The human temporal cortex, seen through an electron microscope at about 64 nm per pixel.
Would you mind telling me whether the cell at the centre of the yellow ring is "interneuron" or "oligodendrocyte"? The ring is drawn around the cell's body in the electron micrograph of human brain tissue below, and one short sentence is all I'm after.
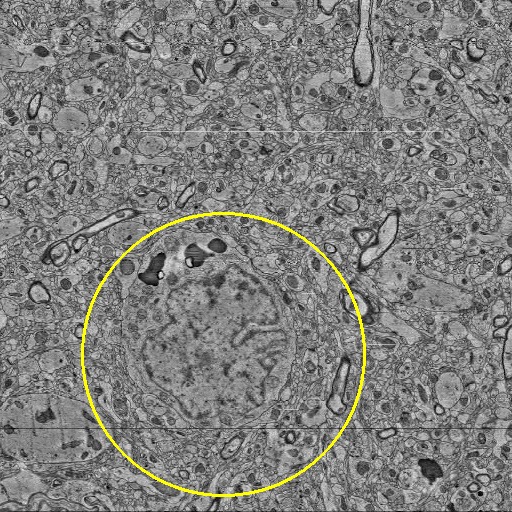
In the centre of the ring lies an interneuron.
